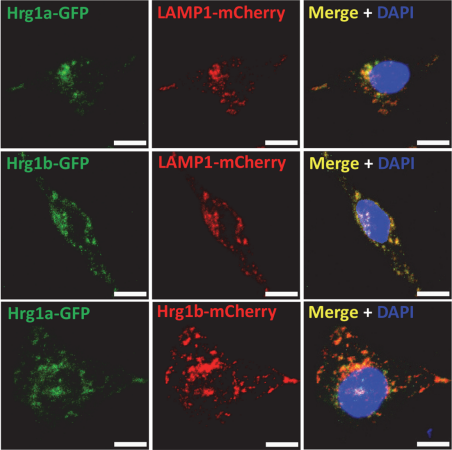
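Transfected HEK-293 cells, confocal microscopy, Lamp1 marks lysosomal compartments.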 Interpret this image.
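These are single cultured cells, each with a round blue-stained nucleus surrounded by cytoplasm. The green and red signals both appear as many small puncta and vesicle-like dots scattered through the cytoplasm around the nucleus, and in the merged images many of these dots appear yellow where green and red overlap.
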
